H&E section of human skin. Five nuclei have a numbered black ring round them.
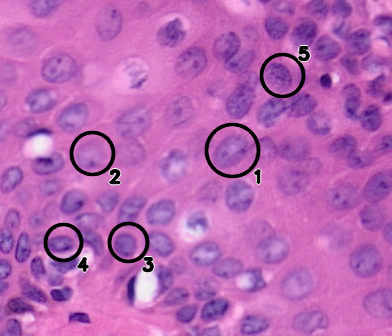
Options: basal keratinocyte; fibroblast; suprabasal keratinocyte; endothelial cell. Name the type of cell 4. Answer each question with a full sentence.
The marked cell bearing number 4 is a basal keratinocyte.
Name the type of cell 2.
The cell identified by the number 2 is a suprabasal keratinocyte.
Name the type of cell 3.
Here, the cell given the number 3 is a basal keratinocyte.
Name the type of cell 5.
Number 5 is placed on a basal keratinocyte here.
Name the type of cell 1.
Denoted by the label 1 in the section is a suprabasal keratinocyte.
